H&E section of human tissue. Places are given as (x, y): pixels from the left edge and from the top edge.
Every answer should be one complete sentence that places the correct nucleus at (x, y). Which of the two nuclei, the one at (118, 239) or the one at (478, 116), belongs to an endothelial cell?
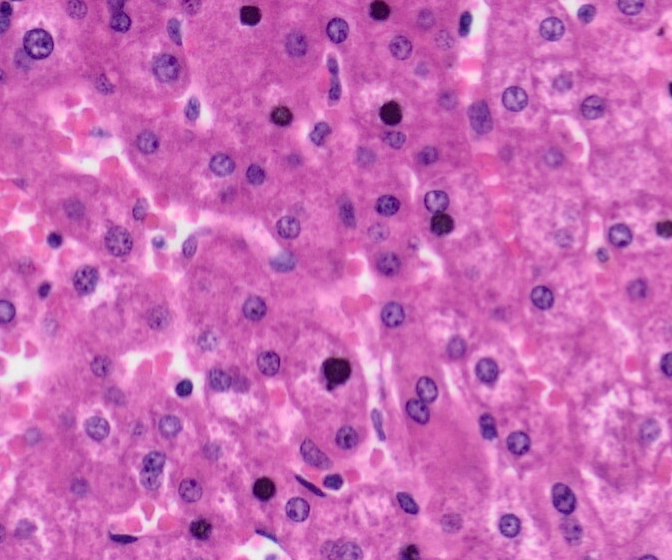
The correct choice is the nucleus at (478, 116), which belongs to an endothelial cell.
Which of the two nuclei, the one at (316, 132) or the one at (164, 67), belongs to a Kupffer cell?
Housed in a Kupffer cell is the nucleus at (316, 132), not the other one.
